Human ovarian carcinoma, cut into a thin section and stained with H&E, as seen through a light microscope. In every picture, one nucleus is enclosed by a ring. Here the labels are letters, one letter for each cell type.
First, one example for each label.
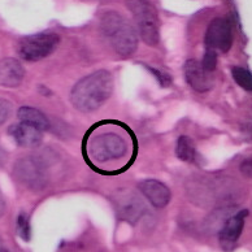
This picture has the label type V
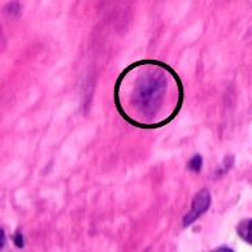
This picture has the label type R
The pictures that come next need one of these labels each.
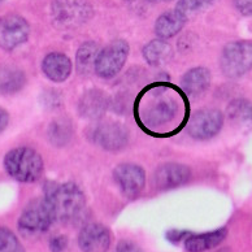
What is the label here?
type V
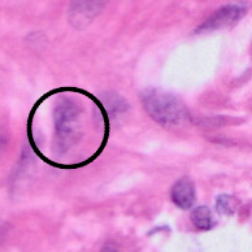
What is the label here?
type R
